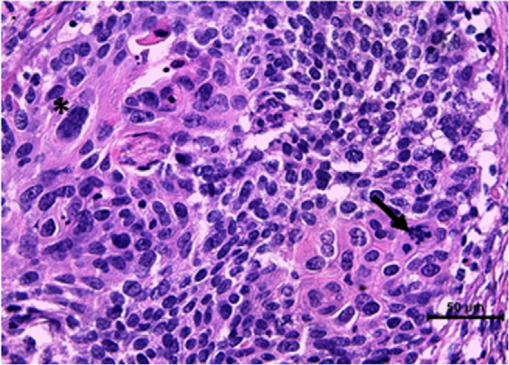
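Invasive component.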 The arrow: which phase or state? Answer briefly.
atypical mitoses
